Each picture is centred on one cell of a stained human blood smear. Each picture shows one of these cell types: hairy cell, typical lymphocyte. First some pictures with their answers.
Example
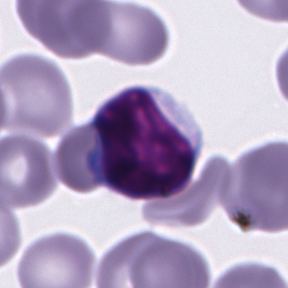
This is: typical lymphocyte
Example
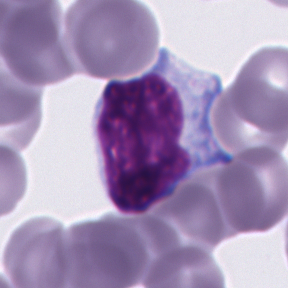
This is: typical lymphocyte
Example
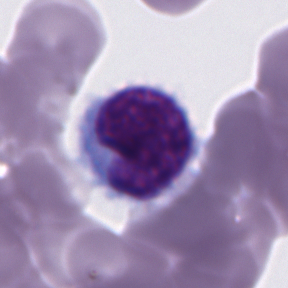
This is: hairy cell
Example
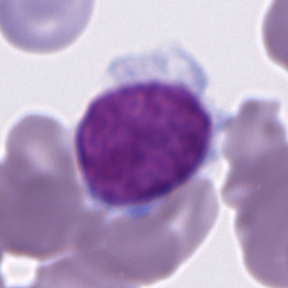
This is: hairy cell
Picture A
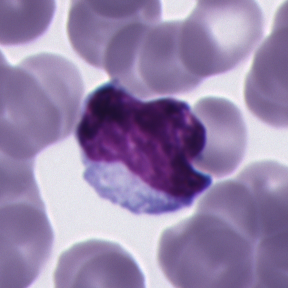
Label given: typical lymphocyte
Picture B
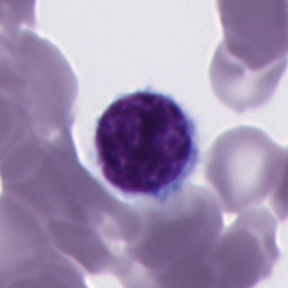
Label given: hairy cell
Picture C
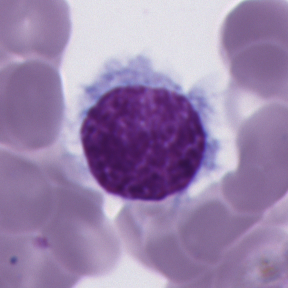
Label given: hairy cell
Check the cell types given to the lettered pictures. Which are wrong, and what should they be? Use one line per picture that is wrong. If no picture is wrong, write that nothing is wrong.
Every label is right.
